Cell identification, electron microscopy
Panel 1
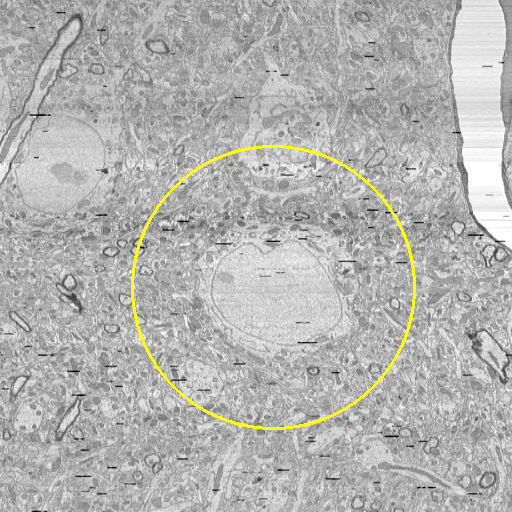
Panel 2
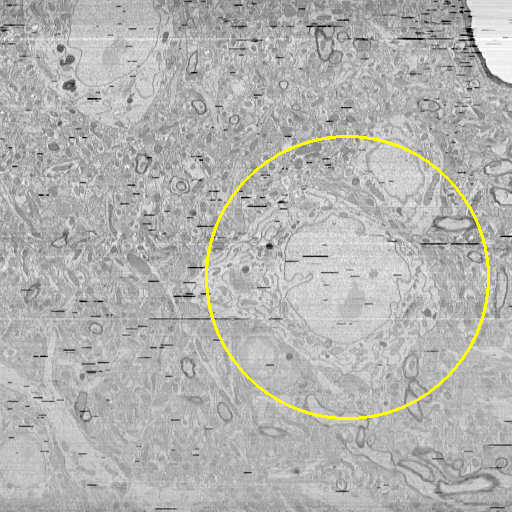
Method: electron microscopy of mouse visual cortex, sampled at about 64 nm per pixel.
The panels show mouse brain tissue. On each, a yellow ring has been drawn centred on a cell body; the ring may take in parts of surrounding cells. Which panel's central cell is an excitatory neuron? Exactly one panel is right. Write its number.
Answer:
1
